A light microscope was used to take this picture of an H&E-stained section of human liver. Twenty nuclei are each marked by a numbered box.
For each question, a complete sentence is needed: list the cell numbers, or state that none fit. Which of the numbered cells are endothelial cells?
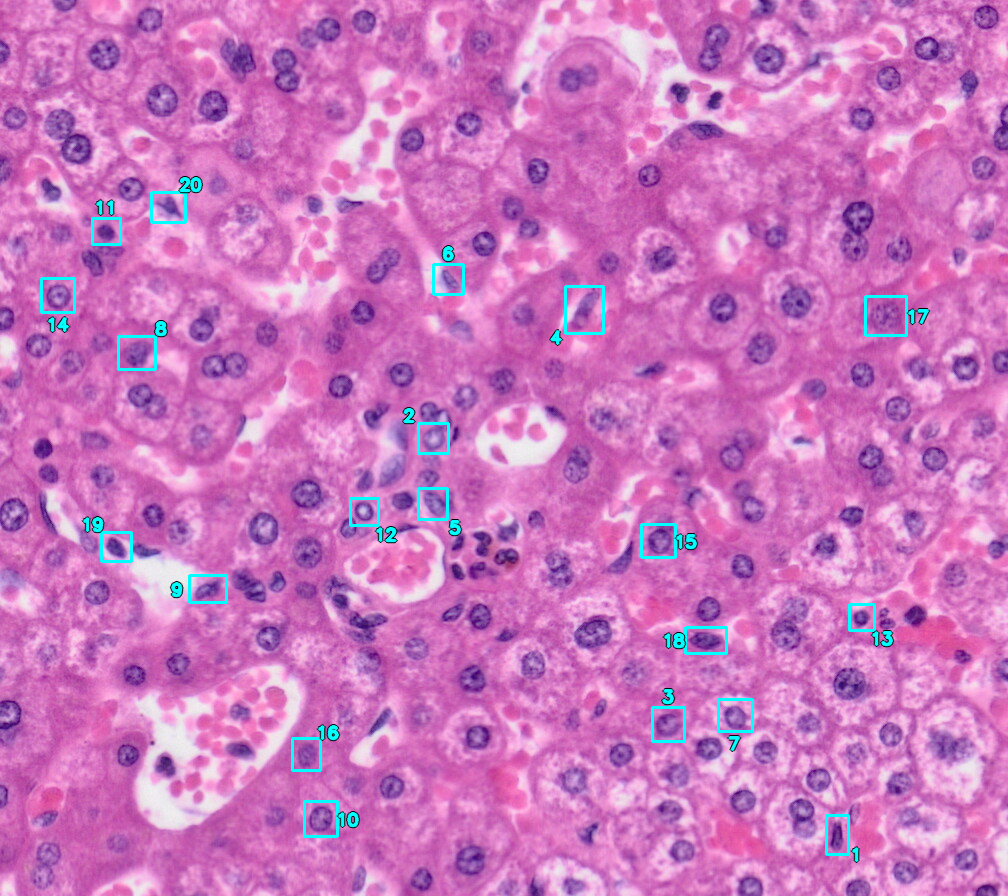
The cells to which the numbers 6, 8 and 20 refer are endothelial cells.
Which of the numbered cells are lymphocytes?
The cells assigned the numbers 11, 13 and 19 are lymphocytes.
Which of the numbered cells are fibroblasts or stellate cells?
In this section, the cells labelled 1, 9 and 18 are fibroblasts or stellate cells.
